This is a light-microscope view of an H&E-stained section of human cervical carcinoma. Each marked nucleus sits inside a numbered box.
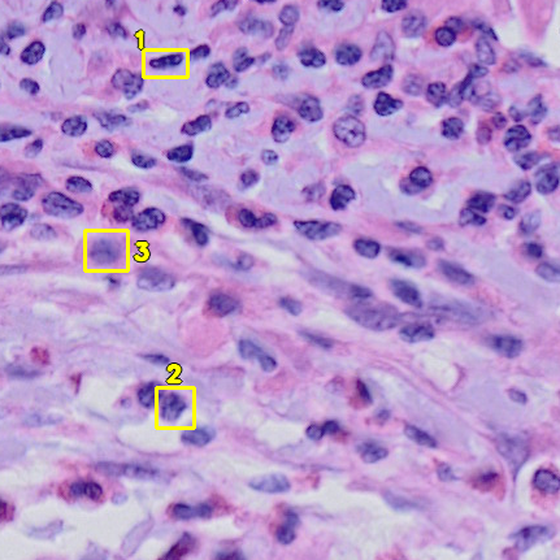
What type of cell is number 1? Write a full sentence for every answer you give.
The numeral 1 marks a lymphocyte in this section.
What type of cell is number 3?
Recognised here as a macrophage or monocyte is the cell numbered 3.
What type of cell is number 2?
The cell indicated by marker 2 is a lymphocyte in this section.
